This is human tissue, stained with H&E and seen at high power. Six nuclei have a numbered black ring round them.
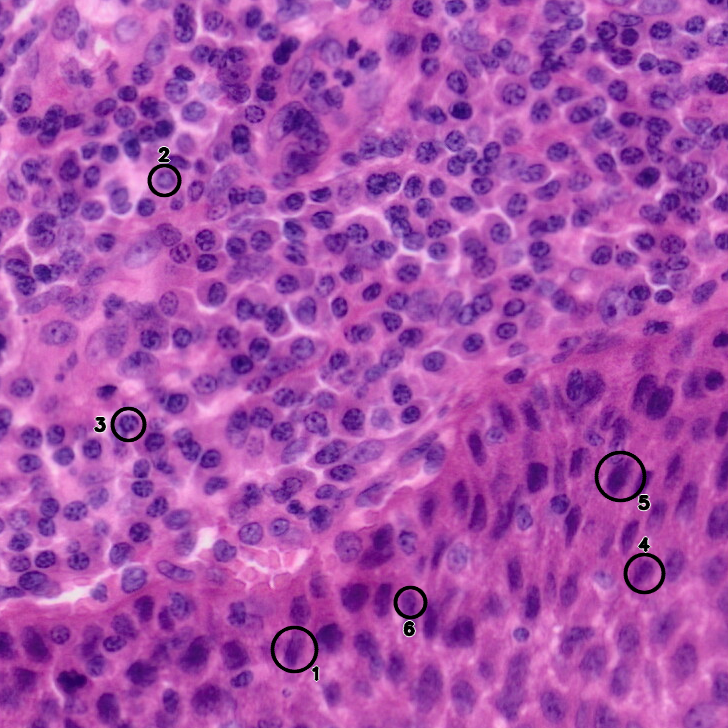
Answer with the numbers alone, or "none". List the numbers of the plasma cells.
2, 3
